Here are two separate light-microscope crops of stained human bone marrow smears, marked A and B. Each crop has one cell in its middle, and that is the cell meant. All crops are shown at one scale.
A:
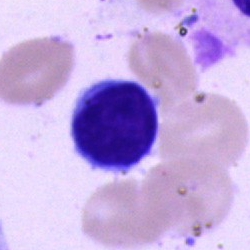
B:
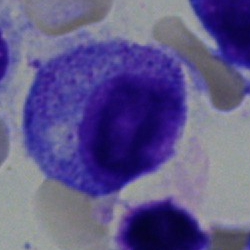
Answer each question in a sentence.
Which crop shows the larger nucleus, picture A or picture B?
Larger is the nucleus in picture B, at roughly 1.5 times the area of the other.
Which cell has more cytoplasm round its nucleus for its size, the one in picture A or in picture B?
The nucleus fills less of the cell in picture B than in picture A.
